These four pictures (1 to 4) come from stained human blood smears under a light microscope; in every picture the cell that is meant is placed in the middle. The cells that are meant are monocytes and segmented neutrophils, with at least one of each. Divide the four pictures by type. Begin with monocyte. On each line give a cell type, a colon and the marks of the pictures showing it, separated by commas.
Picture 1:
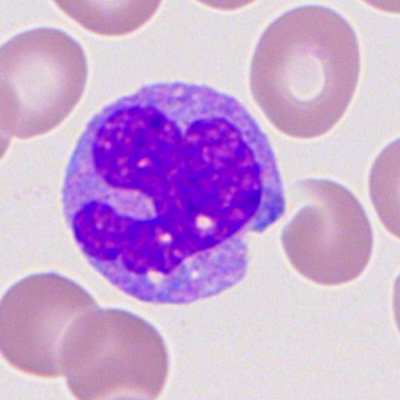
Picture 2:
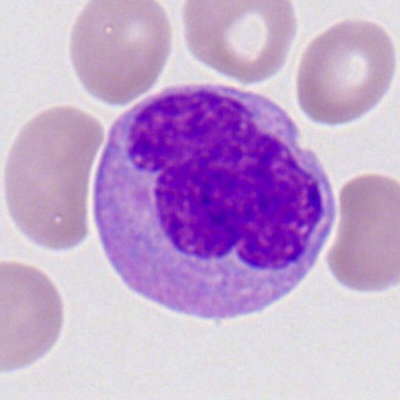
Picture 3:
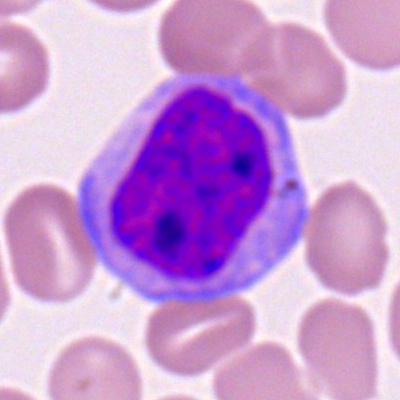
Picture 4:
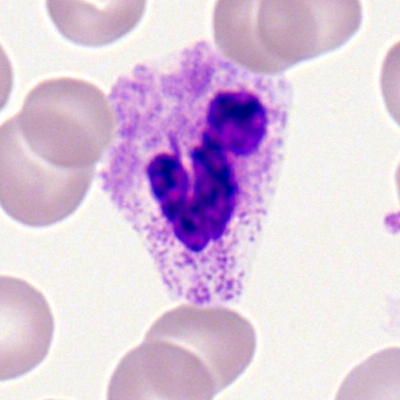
monocyte: 1, 2, 3
segmented neutrophil: 4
